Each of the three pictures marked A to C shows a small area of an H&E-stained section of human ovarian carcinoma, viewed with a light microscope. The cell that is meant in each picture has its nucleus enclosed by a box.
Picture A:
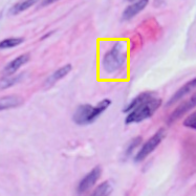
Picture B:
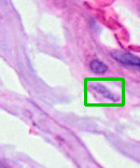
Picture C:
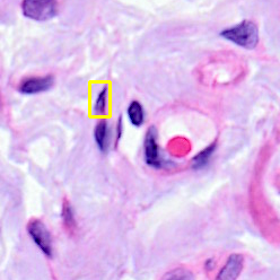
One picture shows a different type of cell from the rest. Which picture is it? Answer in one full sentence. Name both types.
Unlike the rest, which show fibroblasts, picture A shows an endothelial cell.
